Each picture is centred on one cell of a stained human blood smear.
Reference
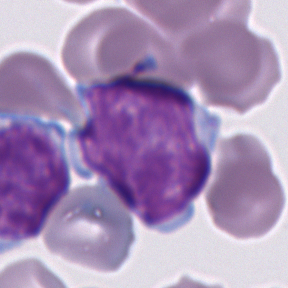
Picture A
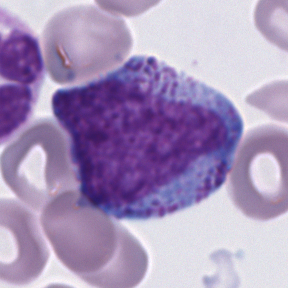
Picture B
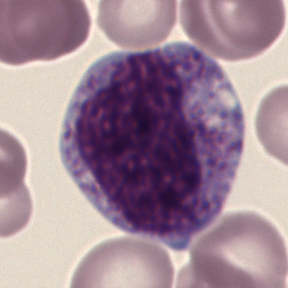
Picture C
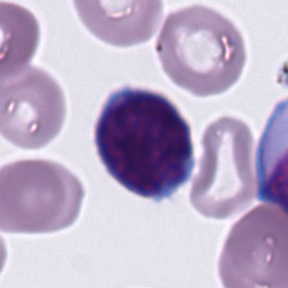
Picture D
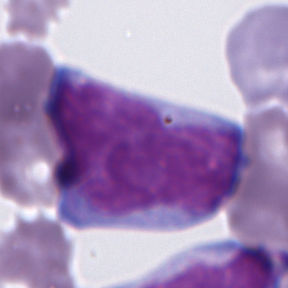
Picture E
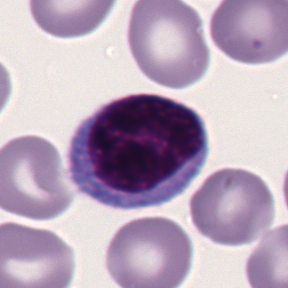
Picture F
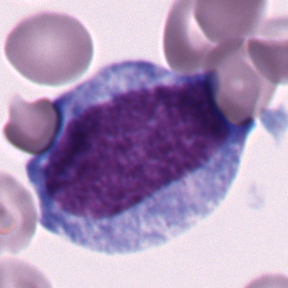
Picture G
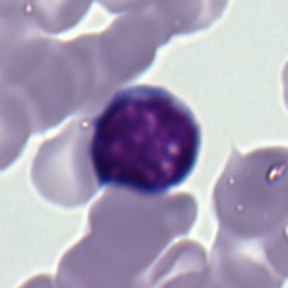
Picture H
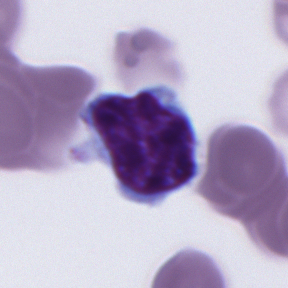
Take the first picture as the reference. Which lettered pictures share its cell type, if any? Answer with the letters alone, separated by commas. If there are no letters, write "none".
D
